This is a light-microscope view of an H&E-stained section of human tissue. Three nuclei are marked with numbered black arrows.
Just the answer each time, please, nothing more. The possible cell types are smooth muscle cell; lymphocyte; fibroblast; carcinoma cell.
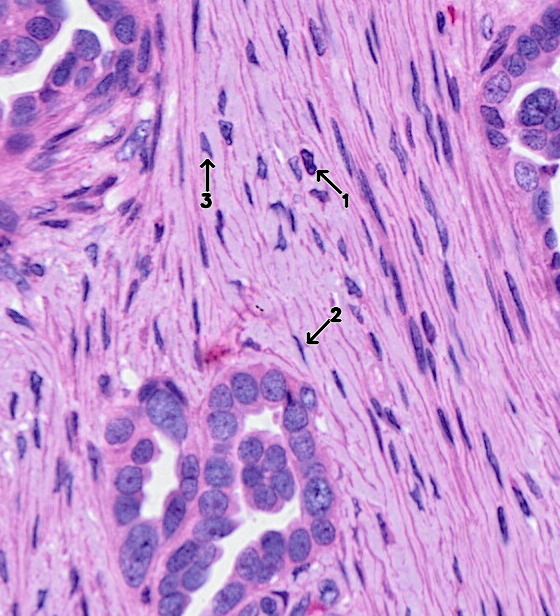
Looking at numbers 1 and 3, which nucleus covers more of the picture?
1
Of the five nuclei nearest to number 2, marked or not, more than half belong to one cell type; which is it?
carcinoma cell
